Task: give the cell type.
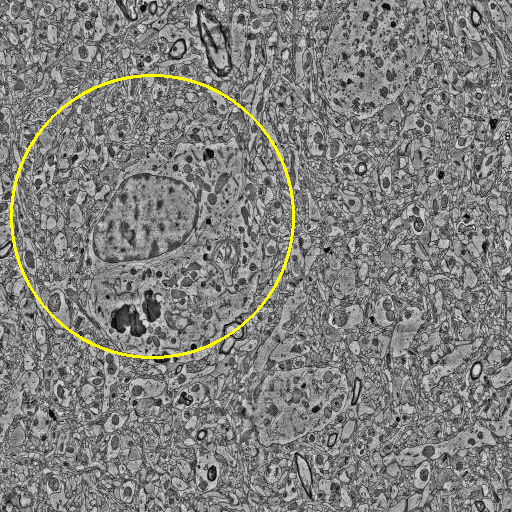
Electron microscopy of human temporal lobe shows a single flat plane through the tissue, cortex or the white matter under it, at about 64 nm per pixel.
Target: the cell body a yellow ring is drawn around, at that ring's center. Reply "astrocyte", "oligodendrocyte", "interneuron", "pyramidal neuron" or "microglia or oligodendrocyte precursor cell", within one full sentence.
In this picture, the cell whose body lies at the ring's center is a microglial cell or oligodendrocyte precursor cell.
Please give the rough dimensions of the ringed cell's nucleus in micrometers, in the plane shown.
In this plane the nucleus is about 7 micrometres by 5.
